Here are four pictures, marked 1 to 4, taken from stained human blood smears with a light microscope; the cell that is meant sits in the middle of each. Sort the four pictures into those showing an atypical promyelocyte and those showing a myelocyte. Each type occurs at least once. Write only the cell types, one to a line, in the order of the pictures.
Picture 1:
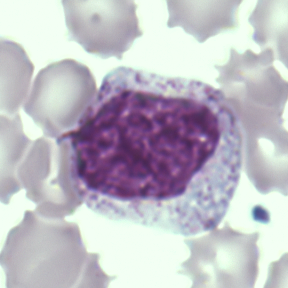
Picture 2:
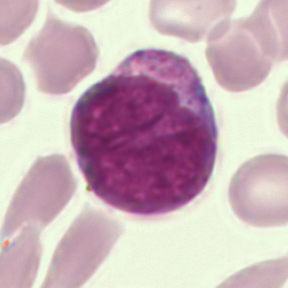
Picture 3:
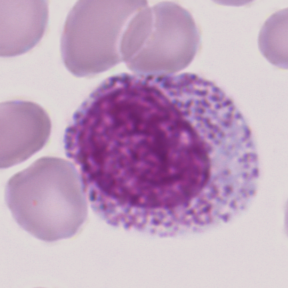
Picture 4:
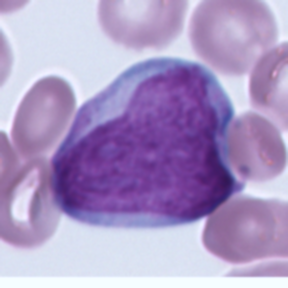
myelocyte
atypical promyelocyte
myelocyte
atypical promyelocyte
